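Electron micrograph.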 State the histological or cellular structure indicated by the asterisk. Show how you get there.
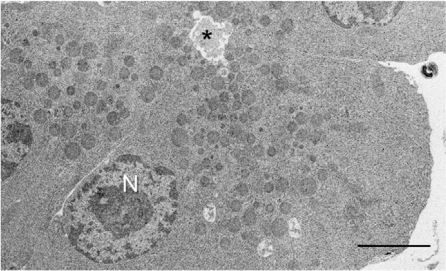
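The asterisk sits on a small pale, electron-lucent space with fine material inside. The space lies among cells packed with dark round granules, away from the nucleus. That points to this answer: acinar lumen.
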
